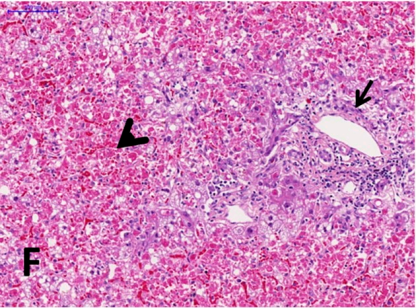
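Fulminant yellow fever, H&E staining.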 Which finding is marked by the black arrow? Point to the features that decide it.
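Mild lympho-mononuclear inflammatory infiltrate. The arrow points at a vessel lumen surrounded by fibrous stroma. Small dark round nuclei cluster in the stroma around the vessel. The cluster of small dark nuclei is limited in extent.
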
